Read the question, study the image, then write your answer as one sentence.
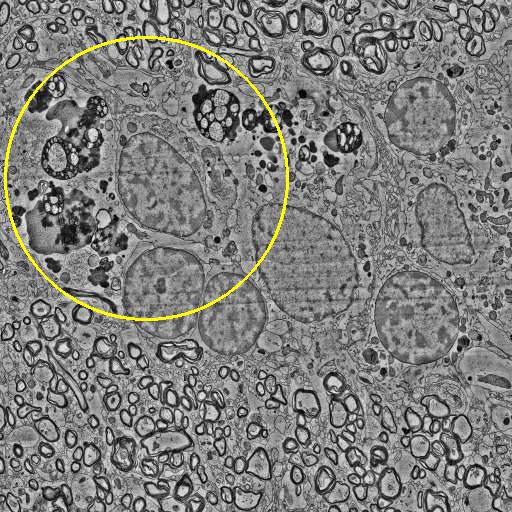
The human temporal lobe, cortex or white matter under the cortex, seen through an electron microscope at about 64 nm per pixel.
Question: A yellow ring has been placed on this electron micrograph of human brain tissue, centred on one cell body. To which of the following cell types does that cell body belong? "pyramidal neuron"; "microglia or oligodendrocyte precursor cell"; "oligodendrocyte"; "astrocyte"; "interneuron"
That cell body belongs to an oligodendrocyte.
